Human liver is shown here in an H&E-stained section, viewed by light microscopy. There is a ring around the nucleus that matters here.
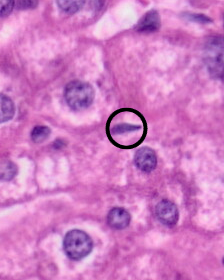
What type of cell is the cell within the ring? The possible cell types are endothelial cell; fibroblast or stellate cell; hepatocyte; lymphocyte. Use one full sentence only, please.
As a matter of cell type, the cell within the ring is an endothelial cell.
